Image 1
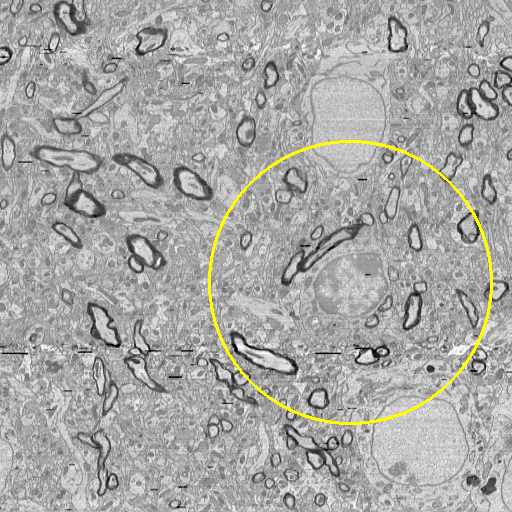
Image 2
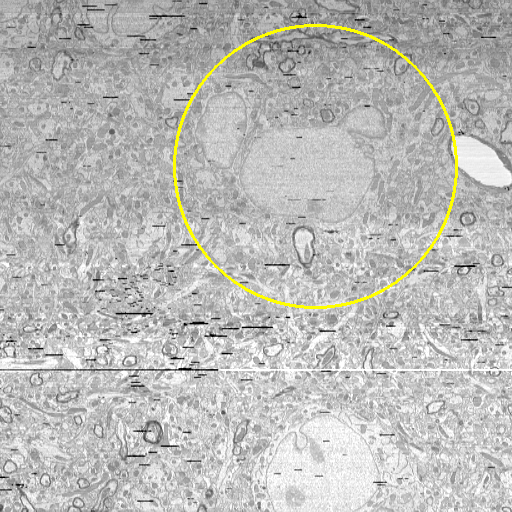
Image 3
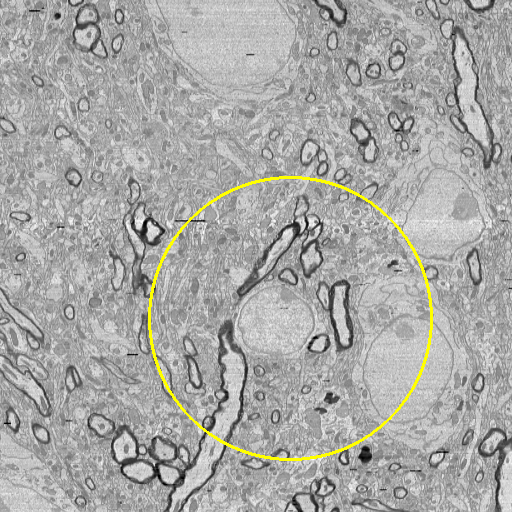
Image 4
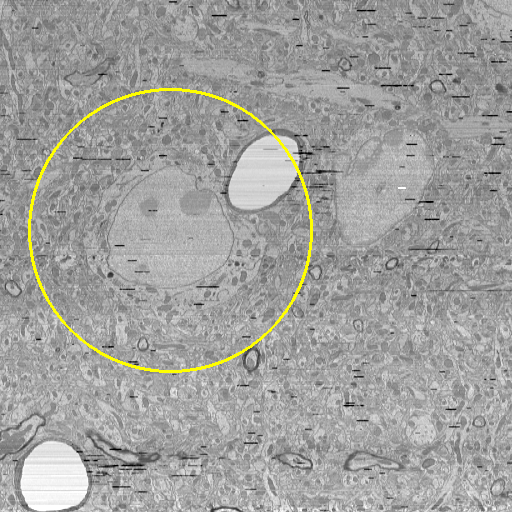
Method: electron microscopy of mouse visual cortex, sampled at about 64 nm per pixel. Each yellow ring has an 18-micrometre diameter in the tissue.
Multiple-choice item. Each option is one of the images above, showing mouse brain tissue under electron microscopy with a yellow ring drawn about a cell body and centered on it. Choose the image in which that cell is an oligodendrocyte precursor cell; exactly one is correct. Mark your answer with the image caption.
Image 3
